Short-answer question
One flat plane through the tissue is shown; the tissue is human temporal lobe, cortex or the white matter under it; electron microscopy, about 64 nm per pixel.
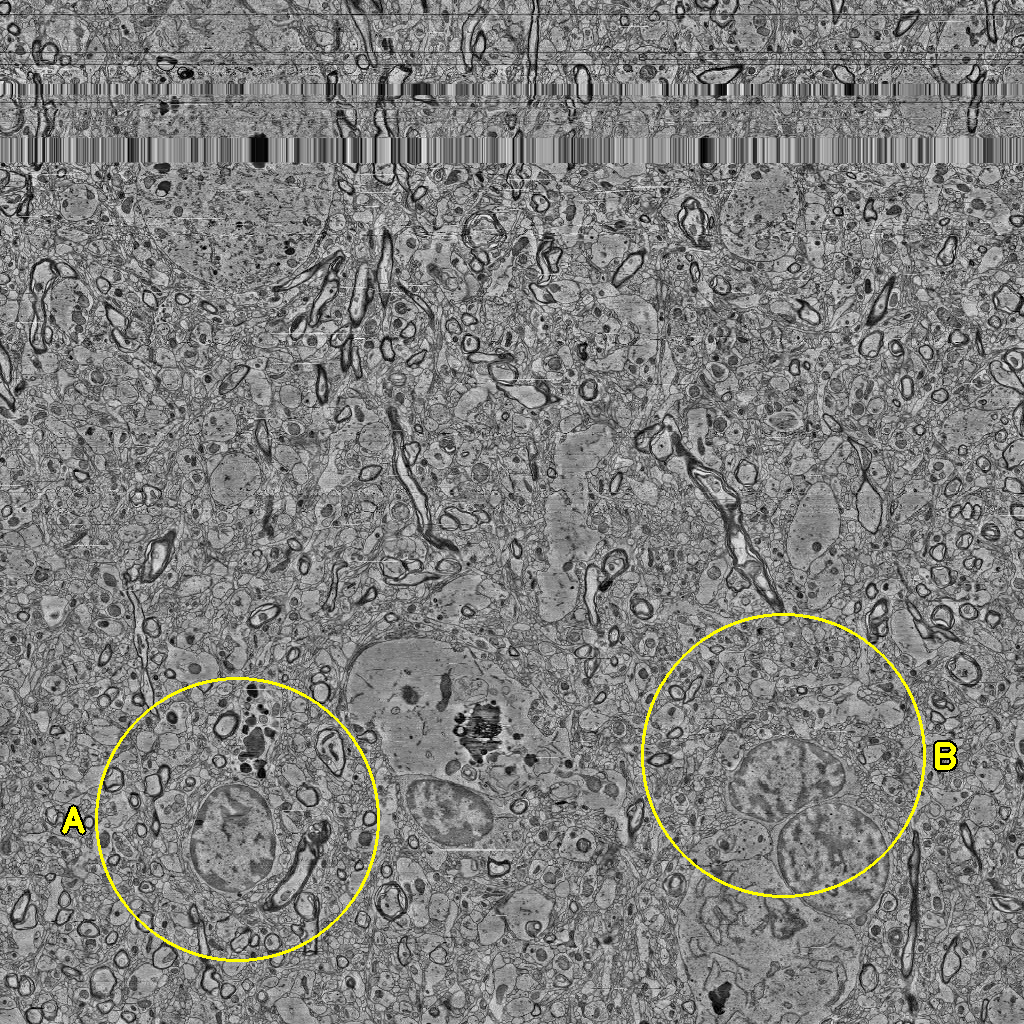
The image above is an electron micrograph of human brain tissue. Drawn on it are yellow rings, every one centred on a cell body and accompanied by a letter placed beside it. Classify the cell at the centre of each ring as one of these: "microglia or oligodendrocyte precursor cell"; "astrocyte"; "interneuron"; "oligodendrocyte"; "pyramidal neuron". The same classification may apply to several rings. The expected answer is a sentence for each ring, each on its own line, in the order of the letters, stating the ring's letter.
The cell at ring A is classified as a microglial cell or oligodendrocyte precursor cell.
The cell at ring B is classified as an oligodendrocyte.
